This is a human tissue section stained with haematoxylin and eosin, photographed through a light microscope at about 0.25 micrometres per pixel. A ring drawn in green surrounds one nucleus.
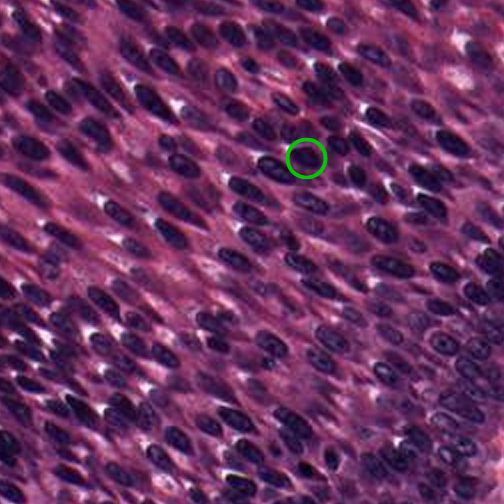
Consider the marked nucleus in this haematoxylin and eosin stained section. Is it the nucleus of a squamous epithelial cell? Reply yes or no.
yes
